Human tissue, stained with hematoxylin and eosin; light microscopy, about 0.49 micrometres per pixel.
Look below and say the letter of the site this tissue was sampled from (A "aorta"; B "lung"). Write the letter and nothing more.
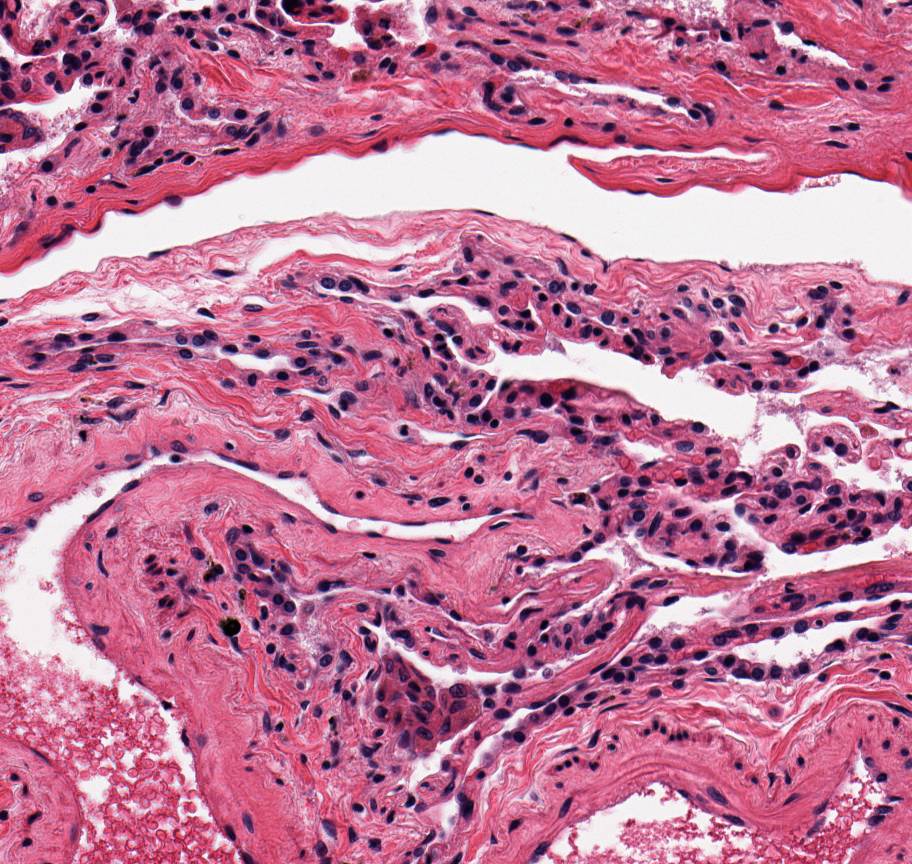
B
